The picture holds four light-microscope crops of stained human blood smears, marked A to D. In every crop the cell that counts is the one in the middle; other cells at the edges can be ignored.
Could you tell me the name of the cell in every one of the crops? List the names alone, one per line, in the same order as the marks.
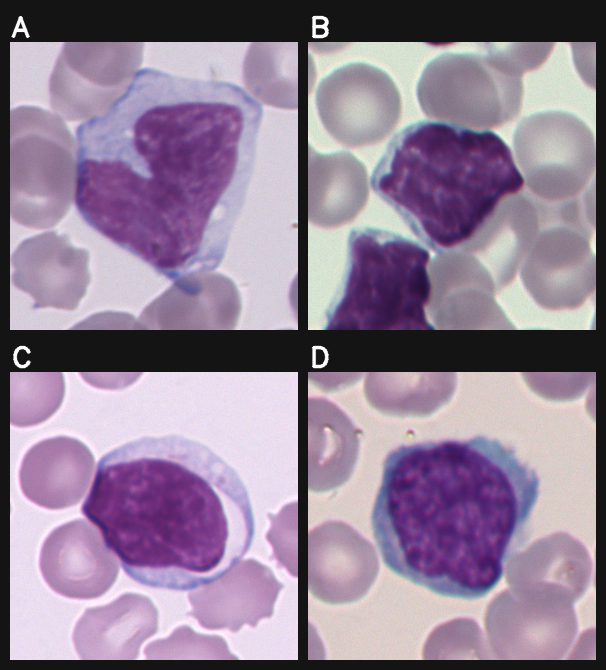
myeloblast
typical lymphocyte
typical lymphocyte
myeloblast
